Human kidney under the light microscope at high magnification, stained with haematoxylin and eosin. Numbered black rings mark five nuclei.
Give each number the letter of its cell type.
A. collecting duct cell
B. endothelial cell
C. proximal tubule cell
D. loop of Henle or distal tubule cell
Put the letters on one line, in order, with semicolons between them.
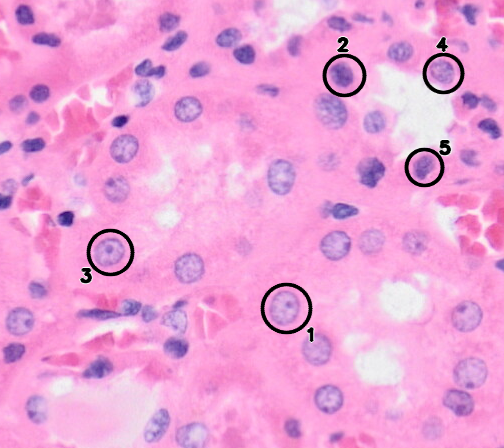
C; D; C; D; D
